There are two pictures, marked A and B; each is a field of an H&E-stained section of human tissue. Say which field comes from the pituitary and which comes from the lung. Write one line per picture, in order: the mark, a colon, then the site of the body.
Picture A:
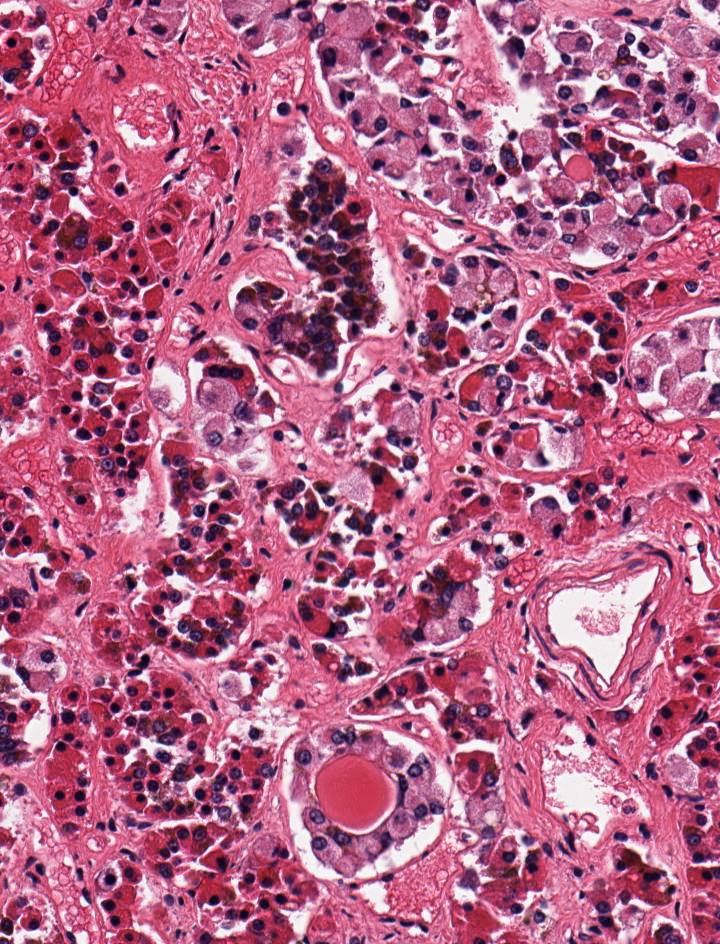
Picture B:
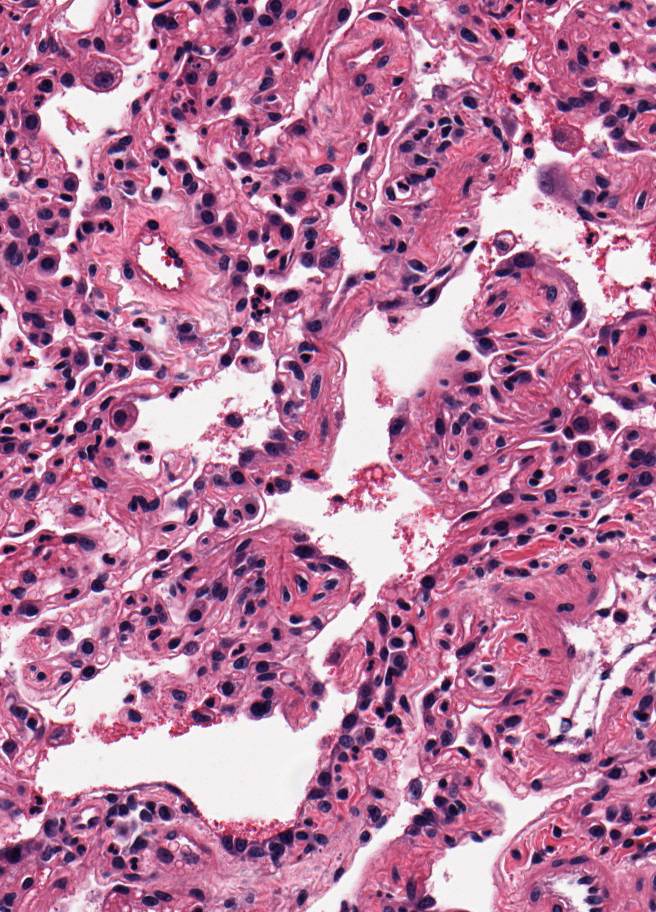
A: pituitary
B: lung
